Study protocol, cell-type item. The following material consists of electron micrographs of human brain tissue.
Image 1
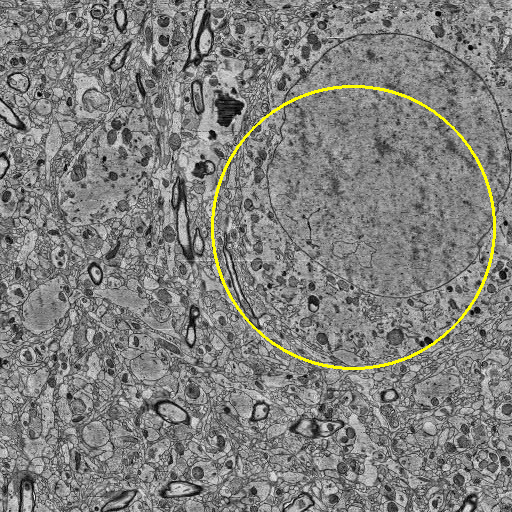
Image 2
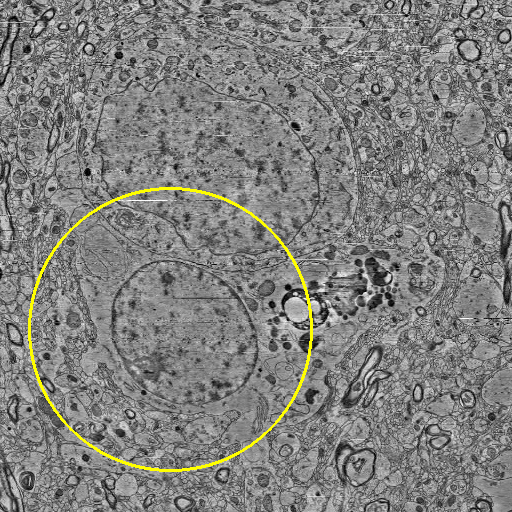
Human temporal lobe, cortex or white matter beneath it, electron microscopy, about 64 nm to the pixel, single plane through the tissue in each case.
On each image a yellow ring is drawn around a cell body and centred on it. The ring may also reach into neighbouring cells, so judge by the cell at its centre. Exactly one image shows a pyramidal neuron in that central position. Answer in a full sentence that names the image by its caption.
The cell at the centre of the ring in Image 1 is of that kind.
